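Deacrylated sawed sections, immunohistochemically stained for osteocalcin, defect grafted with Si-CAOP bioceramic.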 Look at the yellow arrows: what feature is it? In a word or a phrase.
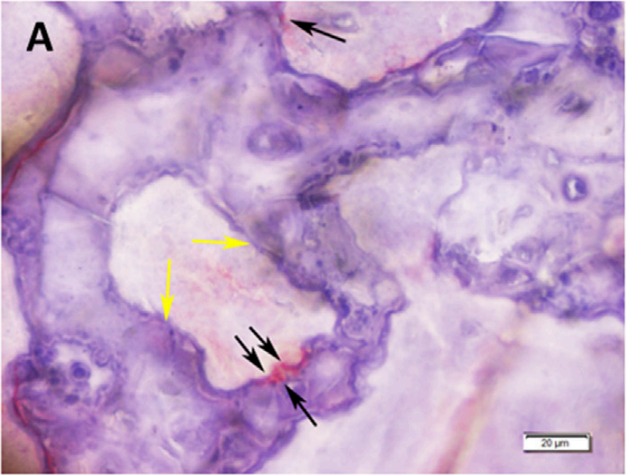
Bone biomaterial contact.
